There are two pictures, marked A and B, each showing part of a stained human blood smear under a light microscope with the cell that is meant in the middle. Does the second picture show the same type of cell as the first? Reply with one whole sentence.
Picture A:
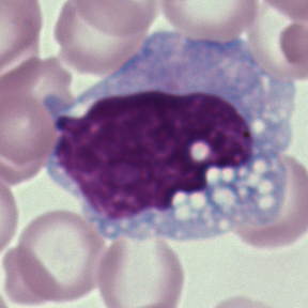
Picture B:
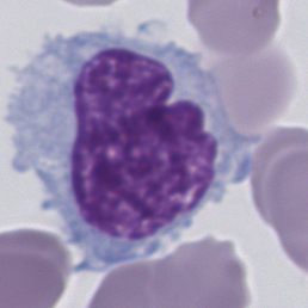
Yes, they are the same type: both are monocytes.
